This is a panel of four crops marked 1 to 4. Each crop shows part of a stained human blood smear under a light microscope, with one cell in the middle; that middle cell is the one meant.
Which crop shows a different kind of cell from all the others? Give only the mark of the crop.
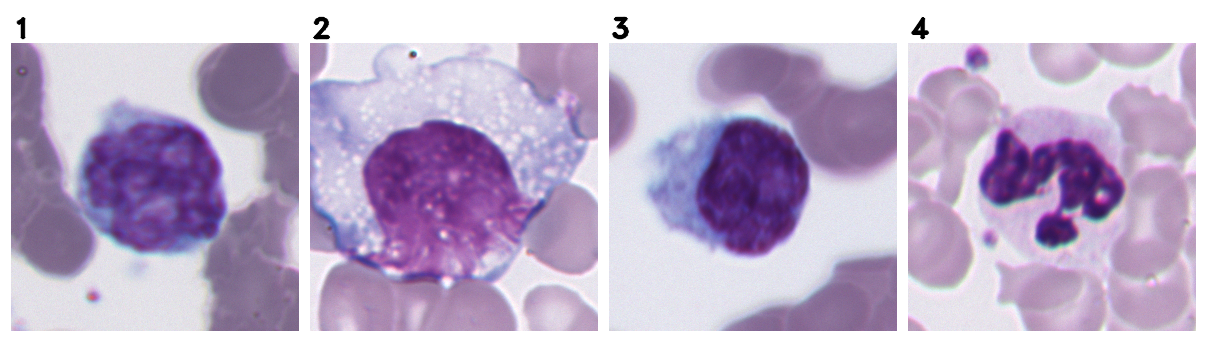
4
